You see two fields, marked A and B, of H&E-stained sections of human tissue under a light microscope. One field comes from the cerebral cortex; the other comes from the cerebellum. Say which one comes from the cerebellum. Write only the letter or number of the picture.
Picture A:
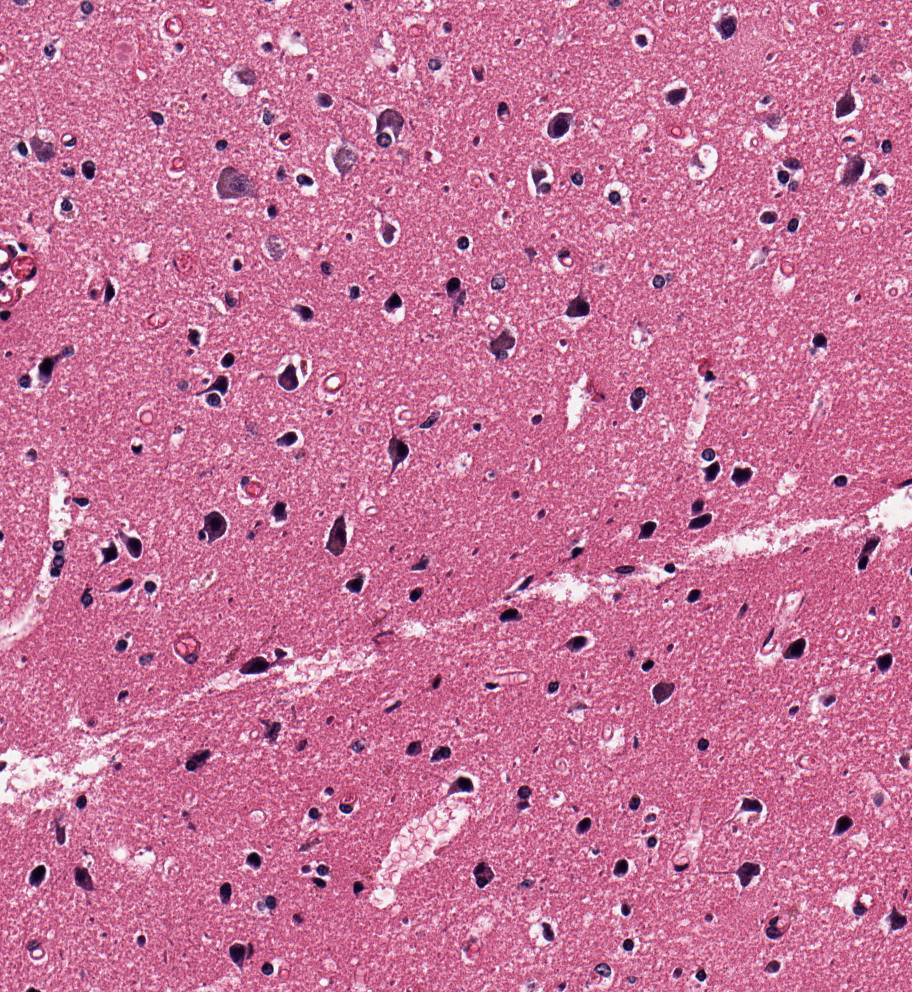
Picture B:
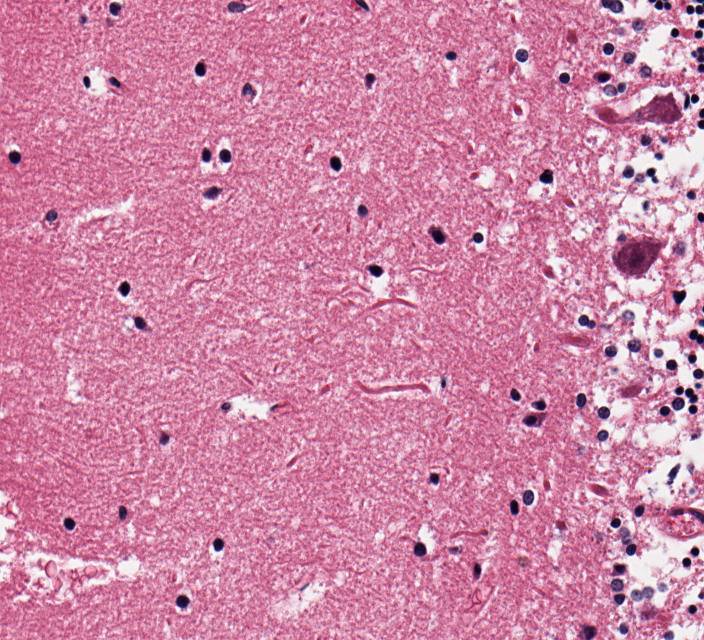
B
